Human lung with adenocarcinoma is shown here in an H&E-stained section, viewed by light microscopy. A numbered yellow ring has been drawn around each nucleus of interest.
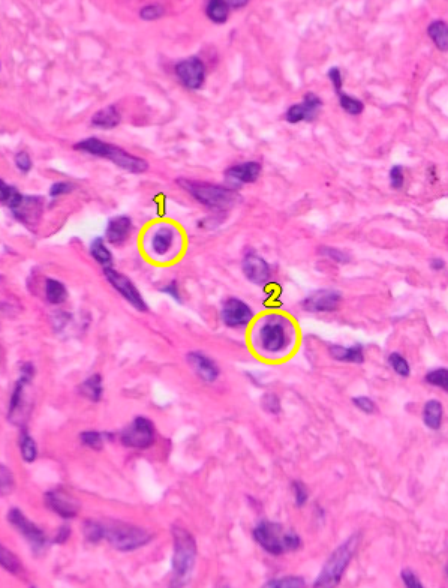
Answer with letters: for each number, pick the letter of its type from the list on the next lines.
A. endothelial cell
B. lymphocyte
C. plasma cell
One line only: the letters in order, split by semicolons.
B; C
